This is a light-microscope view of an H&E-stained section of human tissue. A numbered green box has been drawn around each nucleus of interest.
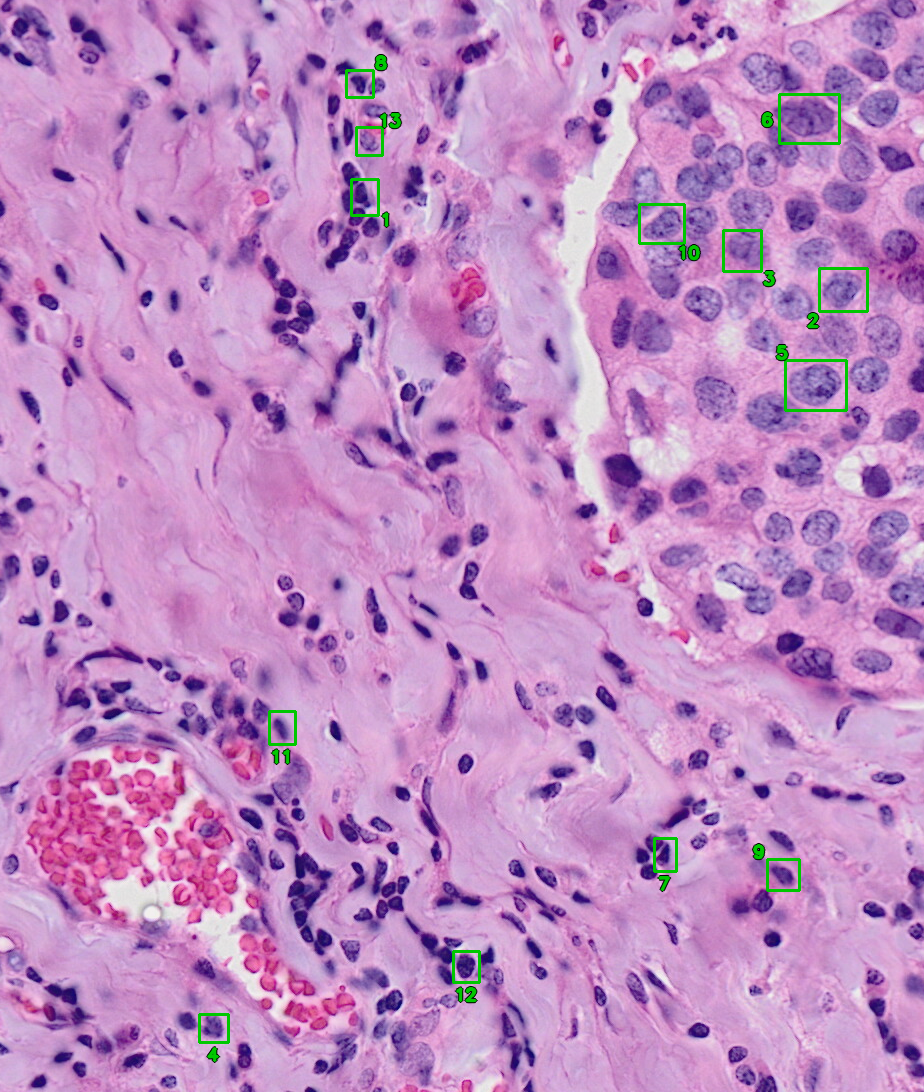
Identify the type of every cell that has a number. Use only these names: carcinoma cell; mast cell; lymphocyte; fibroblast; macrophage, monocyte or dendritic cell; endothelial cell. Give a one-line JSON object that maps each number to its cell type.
{"1": "lymphocyte", "2": "carcinoma cell", "3": "carcinoma cell", "4": "lymphocyte", "5": "carcinoma cell", "6": "carcinoma cell", "7": "lymphocyte", "8": "lymphocyte", "9": "lymphocyte", "10": "carcinoma cell", "11": "lymphocyte", "12": "lymphocyte", "13": "endothelial cell"}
